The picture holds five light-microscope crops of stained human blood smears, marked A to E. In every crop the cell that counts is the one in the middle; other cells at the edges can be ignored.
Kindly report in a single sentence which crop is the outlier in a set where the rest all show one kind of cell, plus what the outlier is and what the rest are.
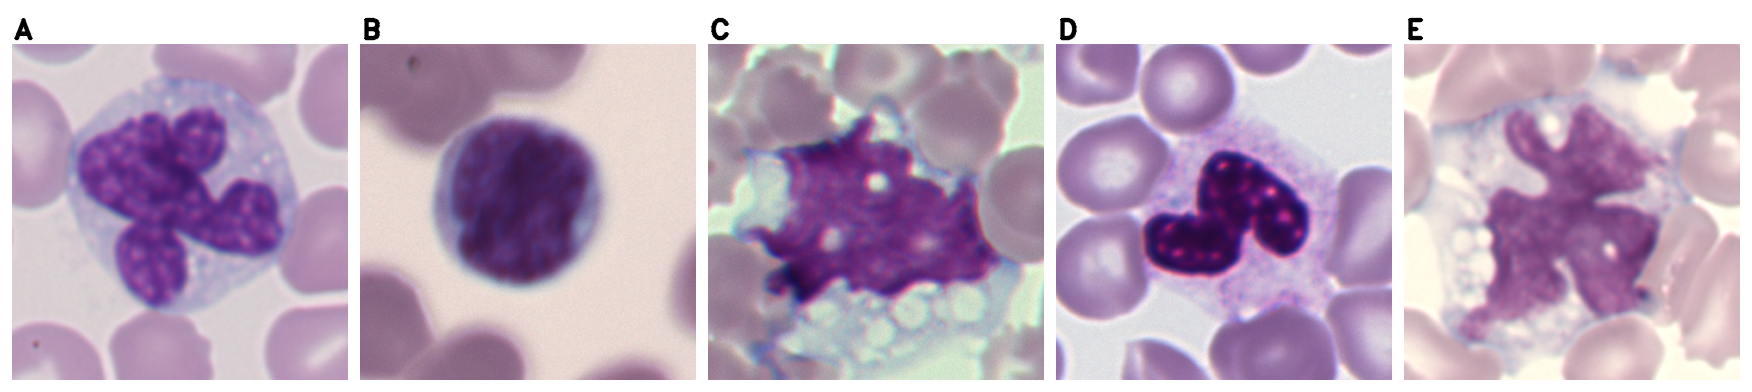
Unlike the rest, which all show monocytes, crop D contains a segmented neutrophil.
